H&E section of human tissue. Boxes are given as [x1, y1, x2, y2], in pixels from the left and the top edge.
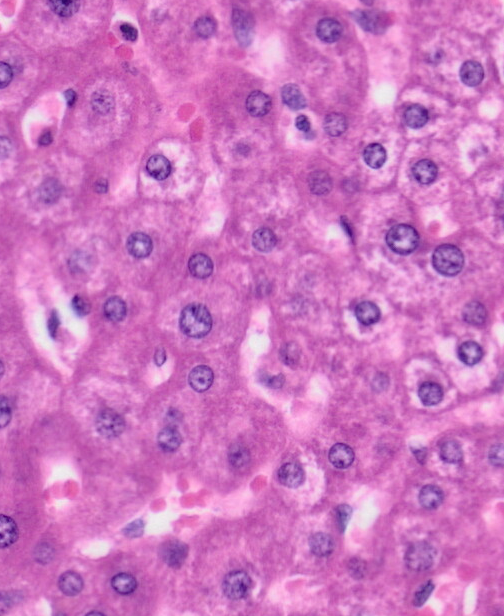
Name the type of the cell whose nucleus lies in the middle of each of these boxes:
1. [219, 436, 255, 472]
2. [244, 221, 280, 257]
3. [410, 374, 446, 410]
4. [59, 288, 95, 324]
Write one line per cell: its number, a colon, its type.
1: hepatocyte
2: hepatocyte
3: hepatocyte
4: endothelial cell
